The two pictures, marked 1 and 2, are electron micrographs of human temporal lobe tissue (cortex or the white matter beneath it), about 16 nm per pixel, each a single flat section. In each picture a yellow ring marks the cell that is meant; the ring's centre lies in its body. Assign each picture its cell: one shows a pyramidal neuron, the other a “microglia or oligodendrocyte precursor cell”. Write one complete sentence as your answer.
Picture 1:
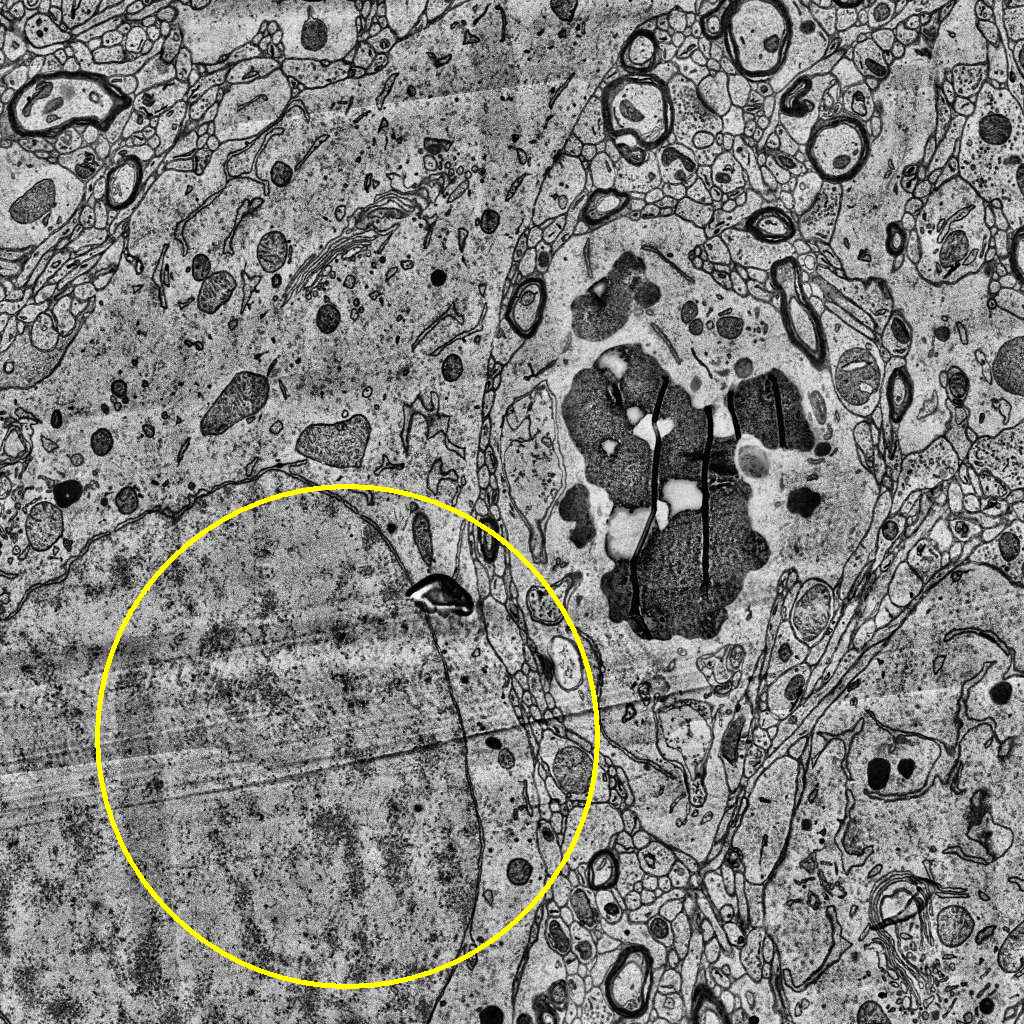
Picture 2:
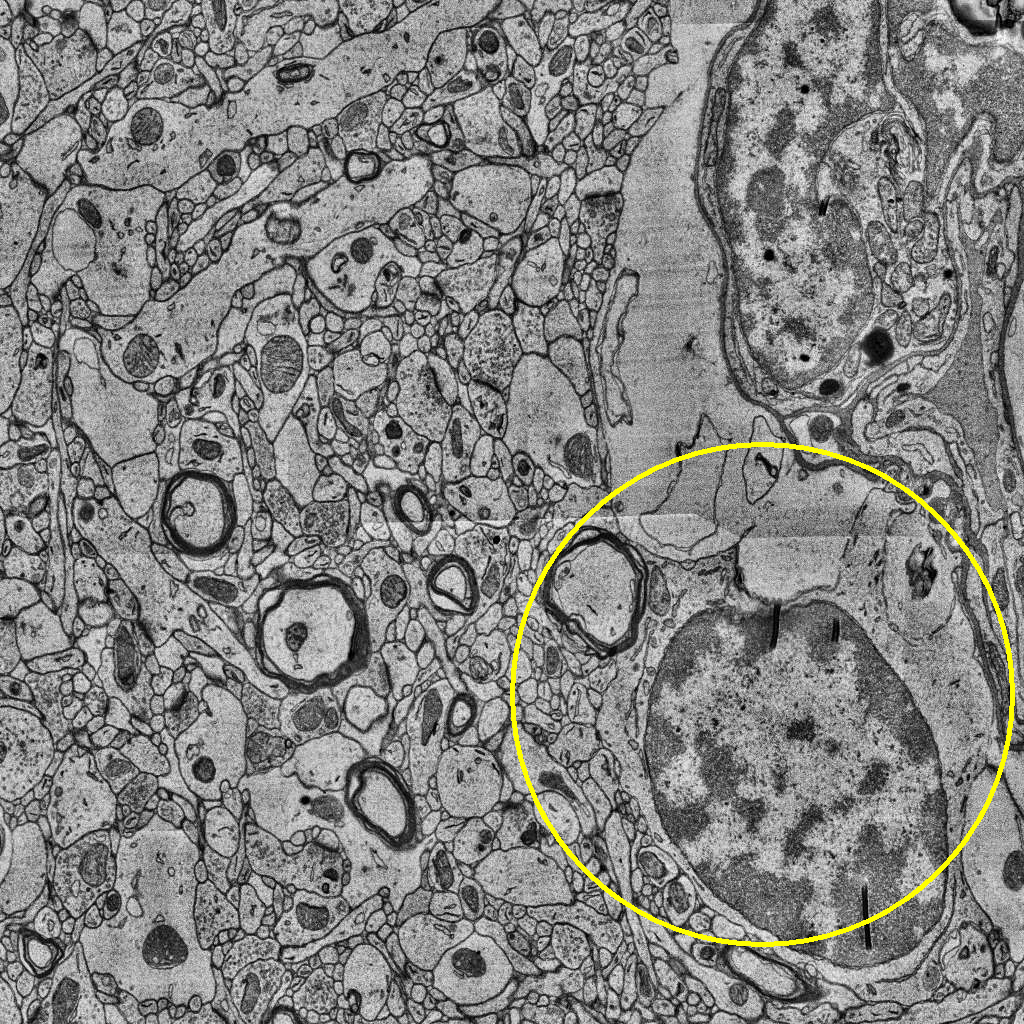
Picture 2 shows a “microglia or oligodendrocyte precursor cell”, while picture 1 shows a pyramidal neuron.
